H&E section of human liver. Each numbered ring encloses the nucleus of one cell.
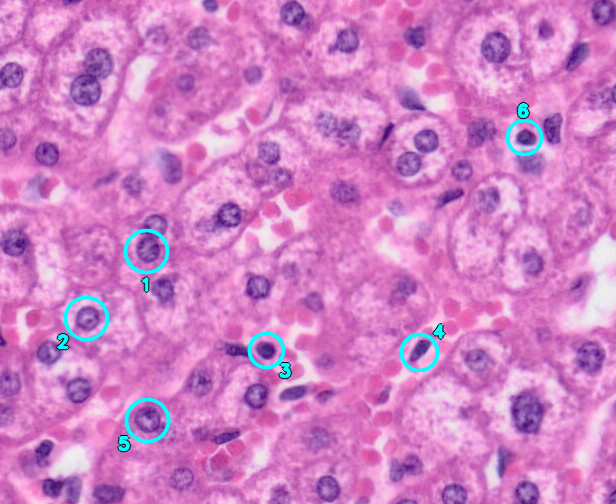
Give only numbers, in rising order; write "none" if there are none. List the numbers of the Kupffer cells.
none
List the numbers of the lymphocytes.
3, 4, 6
